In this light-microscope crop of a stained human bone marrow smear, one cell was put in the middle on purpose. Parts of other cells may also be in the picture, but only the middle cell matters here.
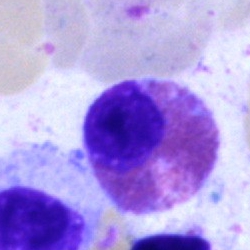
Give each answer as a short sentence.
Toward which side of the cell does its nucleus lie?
Seen from the middle of the cell, the nucleus lies toward the upper left.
